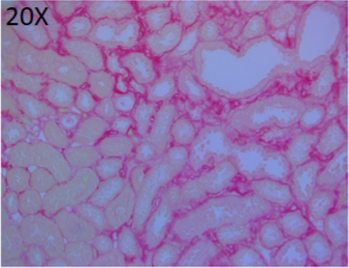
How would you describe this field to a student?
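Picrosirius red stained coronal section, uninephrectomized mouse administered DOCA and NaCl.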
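Renal tissue with closely packed tubules cut in round, oval and elongated profiles, their epithelium pale grey with small lumens. Between the tubules runs a continuous network of bright red-stained interstitium that outlines nearly every tubule, thickest where several tubules meet. In the upper right a few tubules are markedly widened, with large clear, irregular lumens lined by a thin wall and rimmed by red. The red material is confined to the spaces between tubules and around their outer borders rather than lying within the epithelial cells.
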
